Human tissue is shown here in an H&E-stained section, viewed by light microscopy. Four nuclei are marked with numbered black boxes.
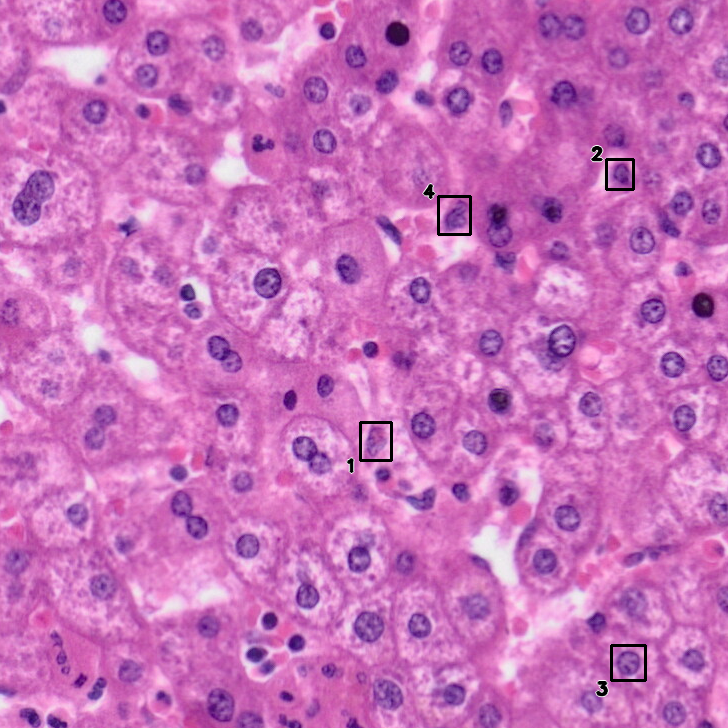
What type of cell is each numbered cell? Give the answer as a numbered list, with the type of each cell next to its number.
1. Kupffer cell
2. Kupffer cell
3. hepatocyte
4. Kupffer cell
